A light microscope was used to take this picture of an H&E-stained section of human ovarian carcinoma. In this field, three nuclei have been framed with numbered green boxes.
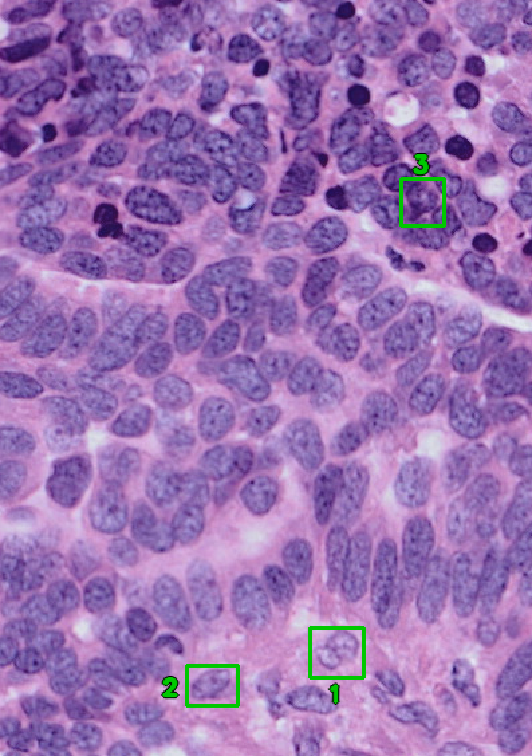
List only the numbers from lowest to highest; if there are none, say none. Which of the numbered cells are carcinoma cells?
3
